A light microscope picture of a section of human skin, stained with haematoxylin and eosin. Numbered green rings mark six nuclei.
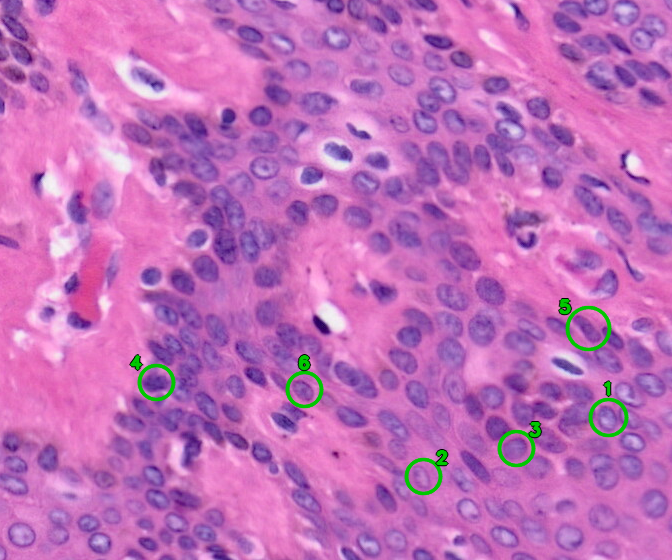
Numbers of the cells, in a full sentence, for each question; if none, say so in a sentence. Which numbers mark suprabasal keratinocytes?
In this section, the cells labelled 1 and 2 are suprabasal keratinocytes.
